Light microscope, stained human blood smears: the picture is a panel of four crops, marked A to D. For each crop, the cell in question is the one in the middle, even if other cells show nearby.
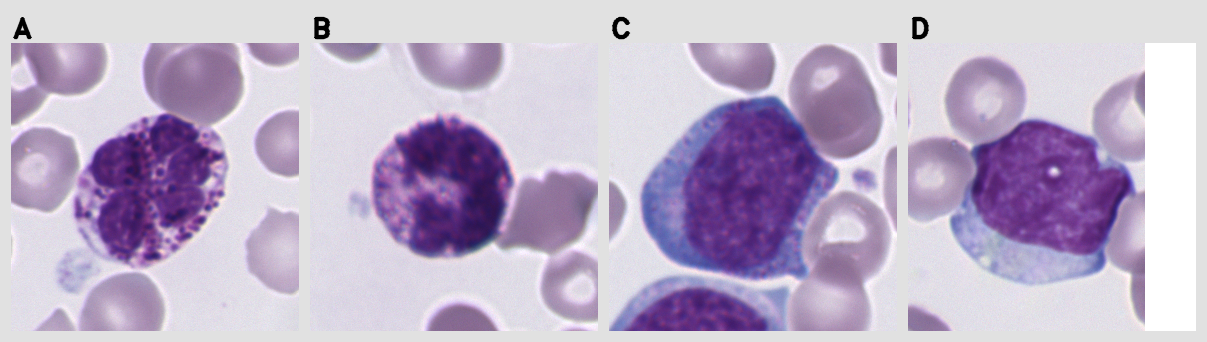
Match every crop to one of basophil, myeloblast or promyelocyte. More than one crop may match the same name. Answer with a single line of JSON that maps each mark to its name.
{"A": "basophil", "B": "basophil", "C": "promyelocyte", "D": "myeloblast"}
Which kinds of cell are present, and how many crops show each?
basophil: 2
promyelocyte: 1
myeloblast: 1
